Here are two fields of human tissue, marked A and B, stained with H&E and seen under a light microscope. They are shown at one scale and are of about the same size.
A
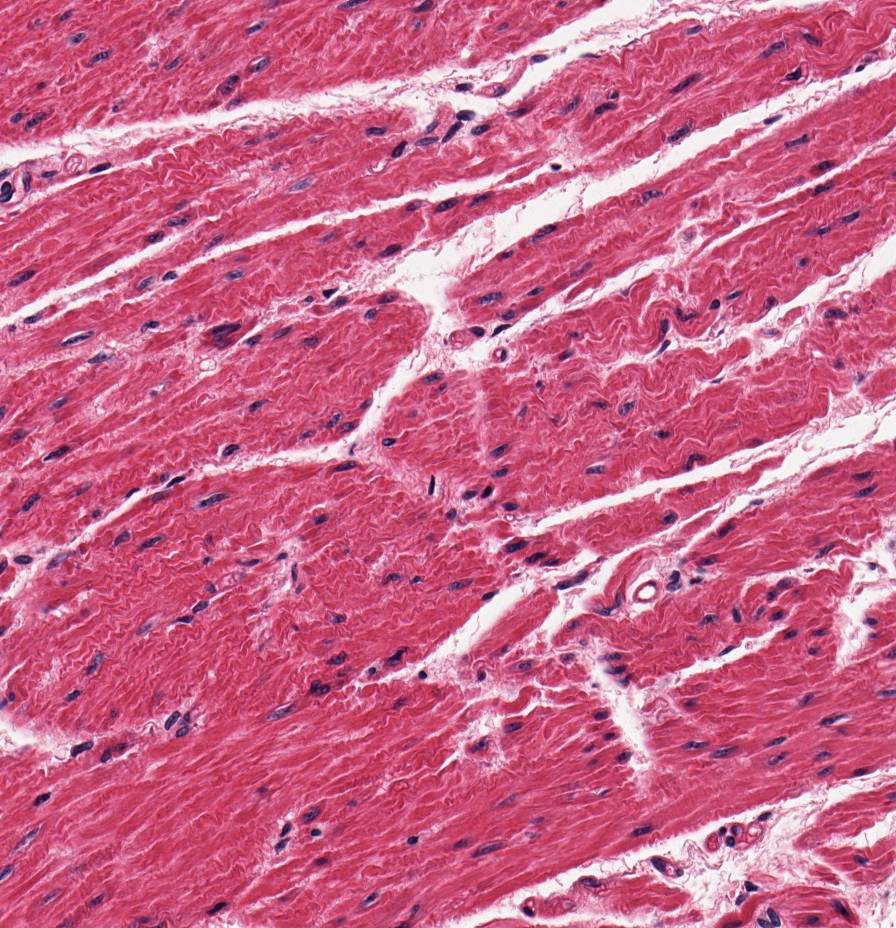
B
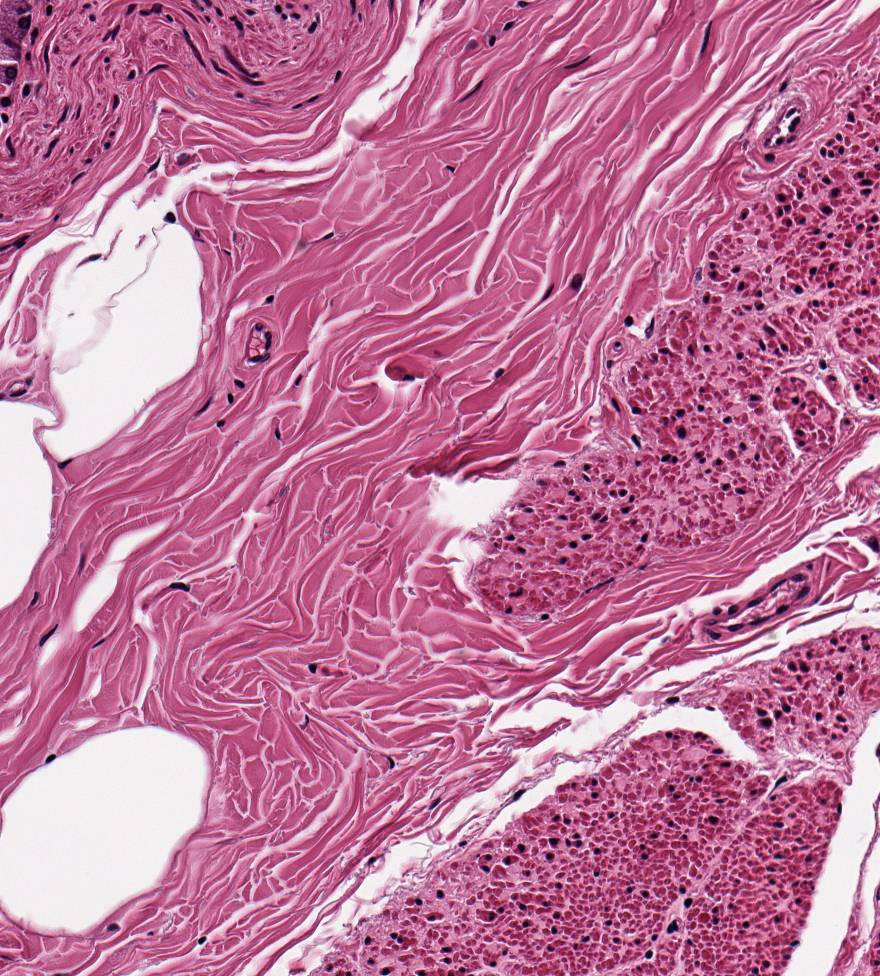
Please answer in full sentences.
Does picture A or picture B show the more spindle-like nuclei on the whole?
On the whole the nuclei of picture A are more drawn out than those of picture B.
